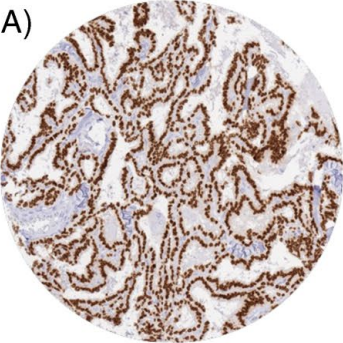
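The tumour cell nuclei are stained strongly brown and line the fronds as continuous rows, while the cytoplasm and the stroma stay pale. Open spaces with pale material separate the fronds.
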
